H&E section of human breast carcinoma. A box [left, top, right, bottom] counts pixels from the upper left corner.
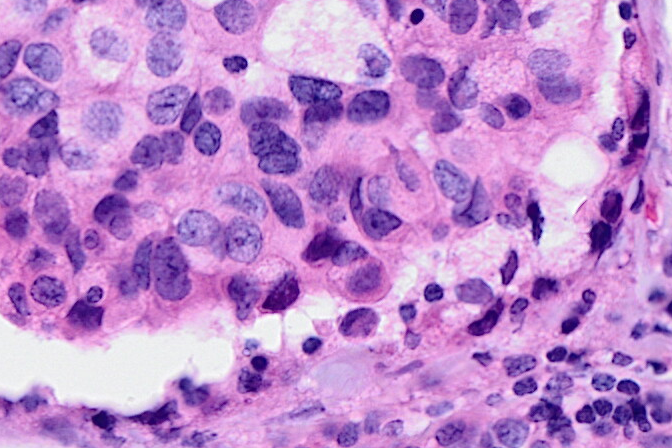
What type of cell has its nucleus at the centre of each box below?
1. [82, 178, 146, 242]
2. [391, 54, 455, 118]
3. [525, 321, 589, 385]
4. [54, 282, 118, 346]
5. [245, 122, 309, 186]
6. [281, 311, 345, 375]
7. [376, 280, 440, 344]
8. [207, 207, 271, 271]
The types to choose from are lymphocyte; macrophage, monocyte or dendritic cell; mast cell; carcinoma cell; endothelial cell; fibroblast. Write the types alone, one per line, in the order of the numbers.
carcinoma cell
carcinoma cell
lymphocyte
carcinoma cell
carcinoma cell
lymphocyte
lymphocyte
carcinoma cell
